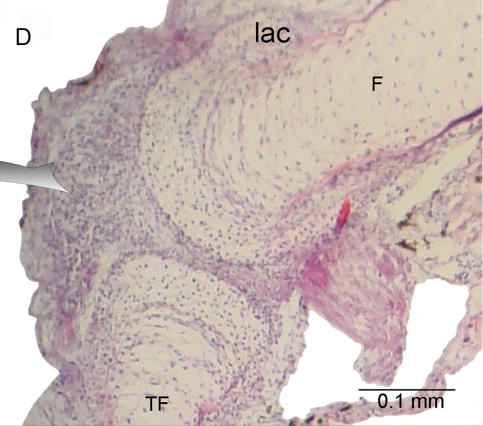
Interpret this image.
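This section shows a knee joint whose articular cartilages are deformed, with chondrocytes in a pale matrix. Near the articular surfaces the chondrocytes are flattened and arranged in curved, concentric rows, while deeper cells are more rounded and scattered. A dense, cellular connective tissue with purple nuclei surrounds the joint on the left, and a small red-stained focus lies to the right between the elements.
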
